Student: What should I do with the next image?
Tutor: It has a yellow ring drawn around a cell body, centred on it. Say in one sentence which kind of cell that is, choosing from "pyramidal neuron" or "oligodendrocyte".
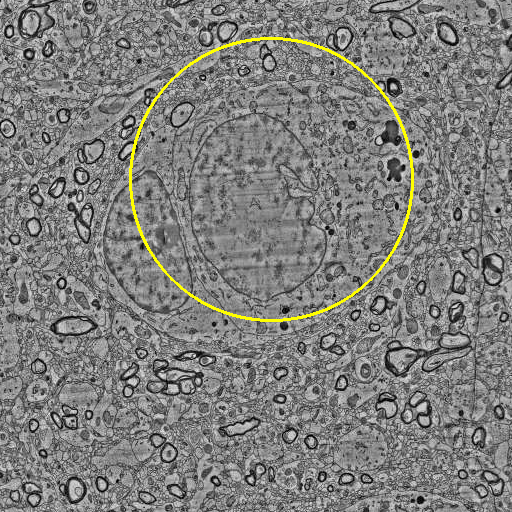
The ring's centre is occupied by a pyramidal neuron.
